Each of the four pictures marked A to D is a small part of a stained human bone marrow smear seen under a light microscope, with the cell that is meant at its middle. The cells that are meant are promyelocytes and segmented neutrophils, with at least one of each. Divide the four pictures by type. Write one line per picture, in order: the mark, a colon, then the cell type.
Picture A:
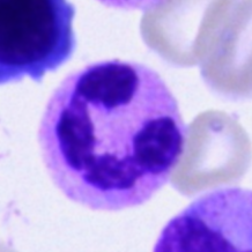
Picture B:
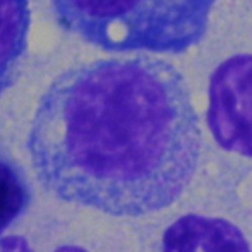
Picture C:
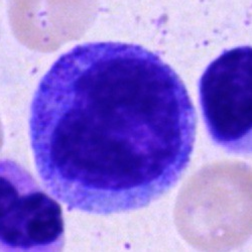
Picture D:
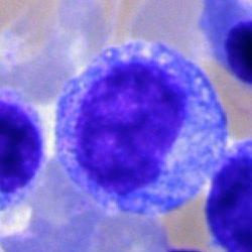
A: segmented neutrophil
B: promyelocyte
C: promyelocyte
D: promyelocyte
